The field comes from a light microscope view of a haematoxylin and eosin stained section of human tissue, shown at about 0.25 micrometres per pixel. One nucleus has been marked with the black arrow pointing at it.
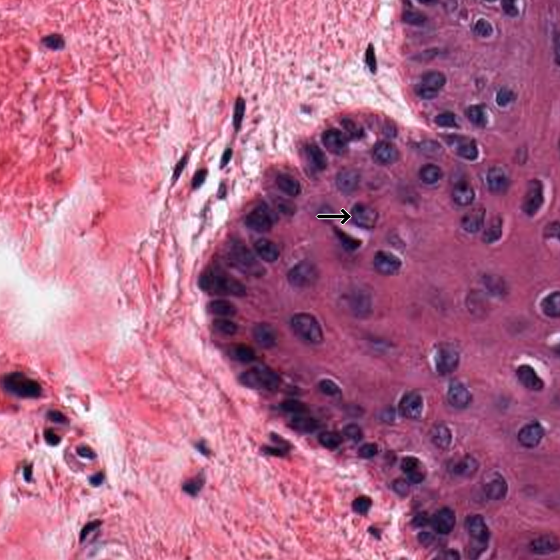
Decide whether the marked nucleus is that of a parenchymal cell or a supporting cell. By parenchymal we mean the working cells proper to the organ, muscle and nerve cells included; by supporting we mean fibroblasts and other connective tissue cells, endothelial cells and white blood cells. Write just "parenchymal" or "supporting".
parenchymal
